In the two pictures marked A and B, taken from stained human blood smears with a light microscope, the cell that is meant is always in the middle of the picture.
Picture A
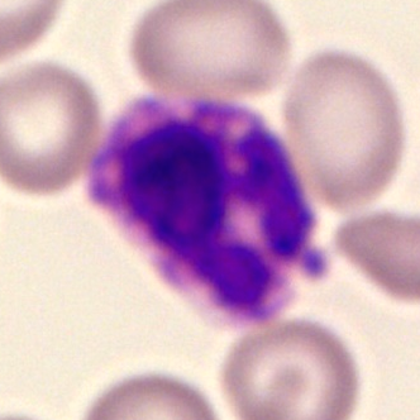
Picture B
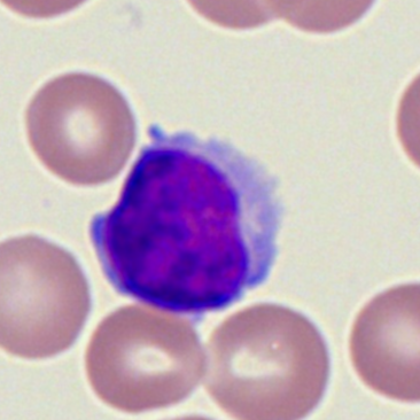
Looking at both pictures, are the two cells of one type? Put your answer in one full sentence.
No, they differ: the cell is a basophil in picture A and a lymphocyte in picture B.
